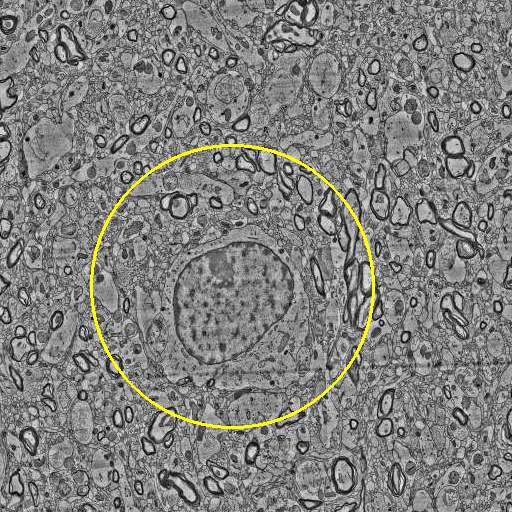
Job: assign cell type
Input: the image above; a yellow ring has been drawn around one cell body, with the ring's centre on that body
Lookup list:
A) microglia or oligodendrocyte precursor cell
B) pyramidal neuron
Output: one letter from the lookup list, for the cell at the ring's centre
A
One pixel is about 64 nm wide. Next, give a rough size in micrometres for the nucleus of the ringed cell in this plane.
The nucleus has a long axis of about 8 micrometres and a short axis of about 7 micrometres in this plane.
